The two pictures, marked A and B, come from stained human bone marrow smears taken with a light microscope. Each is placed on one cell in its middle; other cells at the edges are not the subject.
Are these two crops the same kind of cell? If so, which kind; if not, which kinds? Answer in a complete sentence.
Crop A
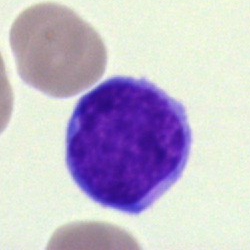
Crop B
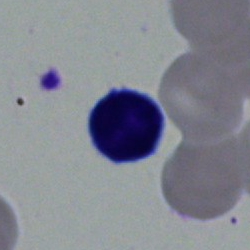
Yes, it is lymphocytes that occupy the middle of both crops.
